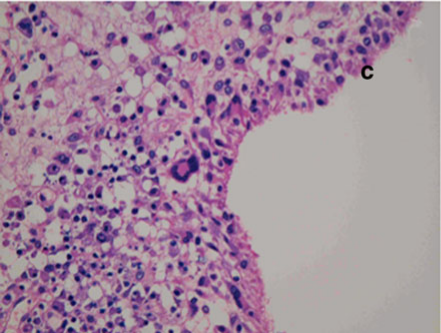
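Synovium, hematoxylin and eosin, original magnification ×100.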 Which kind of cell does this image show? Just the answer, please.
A: giant cells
